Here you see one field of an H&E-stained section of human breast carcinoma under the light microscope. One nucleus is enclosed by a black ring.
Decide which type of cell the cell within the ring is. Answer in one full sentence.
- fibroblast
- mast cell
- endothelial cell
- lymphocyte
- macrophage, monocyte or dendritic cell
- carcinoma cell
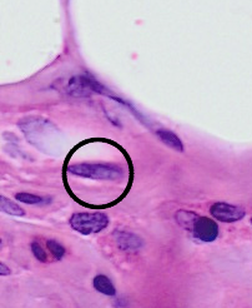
It is an endothelial cell that the cell within the ring represents.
